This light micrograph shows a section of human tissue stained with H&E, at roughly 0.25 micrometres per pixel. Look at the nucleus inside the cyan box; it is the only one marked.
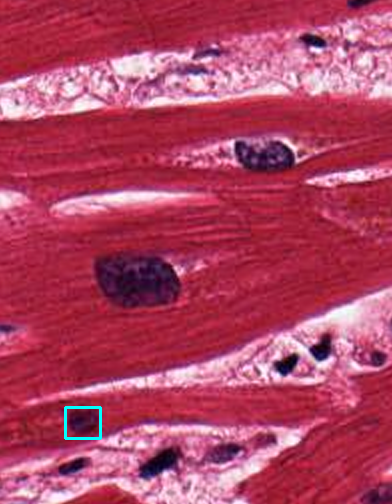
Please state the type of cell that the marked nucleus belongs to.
cardiomyocyte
